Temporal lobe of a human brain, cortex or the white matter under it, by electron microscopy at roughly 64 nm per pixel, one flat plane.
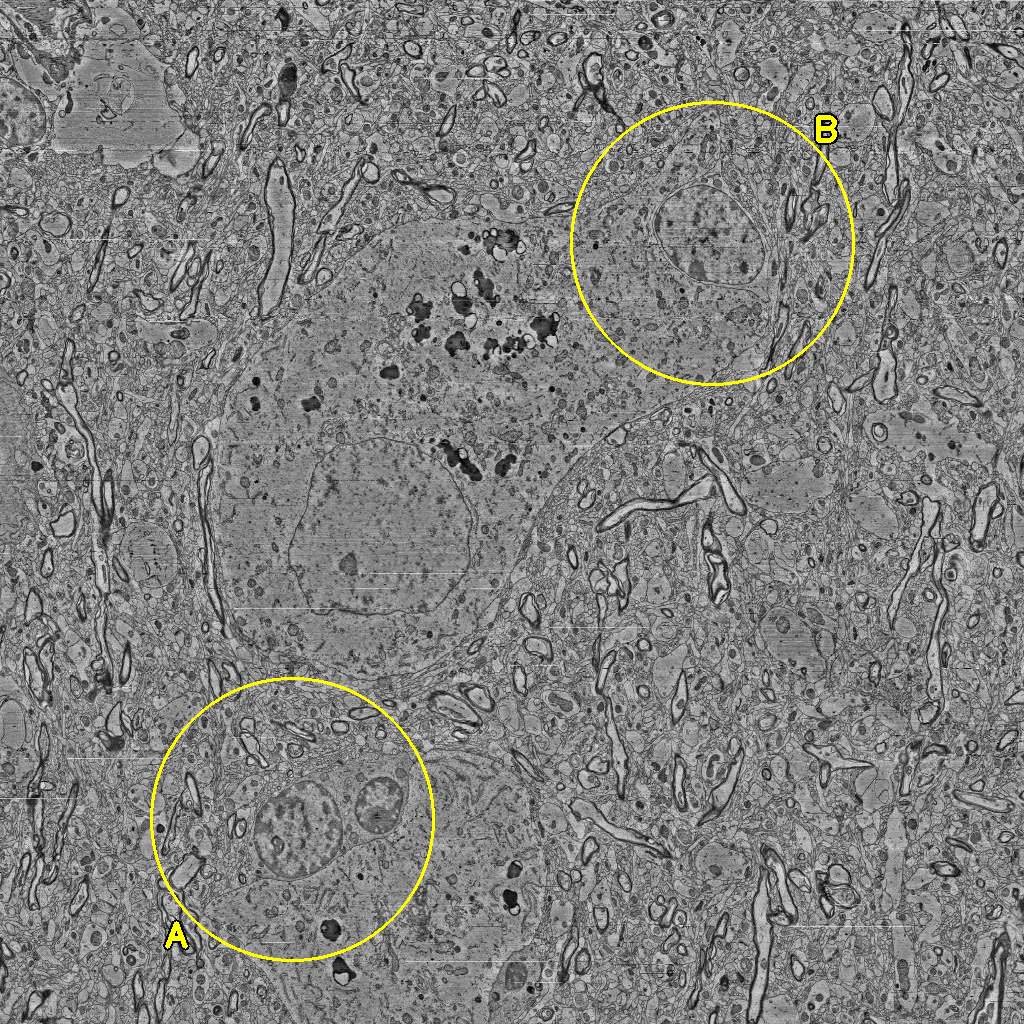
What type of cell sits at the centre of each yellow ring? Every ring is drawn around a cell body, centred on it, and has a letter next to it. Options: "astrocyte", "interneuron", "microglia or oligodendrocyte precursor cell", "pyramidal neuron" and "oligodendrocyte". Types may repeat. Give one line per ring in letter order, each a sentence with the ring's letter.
Ring A has a microglial cell or oligodendrocyte precursor cell at its centre.
Ring B has a microglial cell or oligodendrocyte precursor cell at its centre.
